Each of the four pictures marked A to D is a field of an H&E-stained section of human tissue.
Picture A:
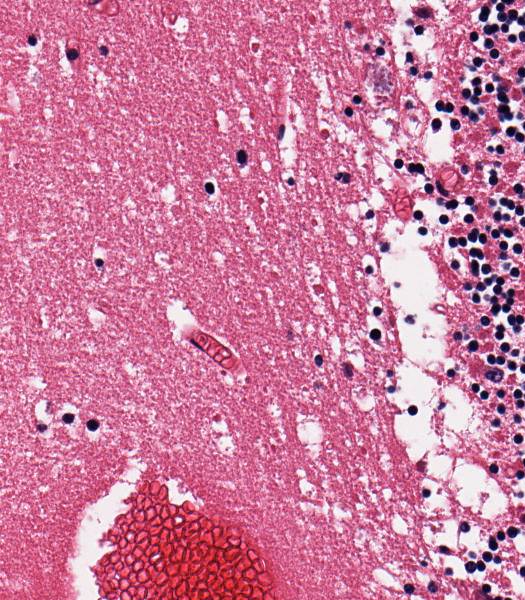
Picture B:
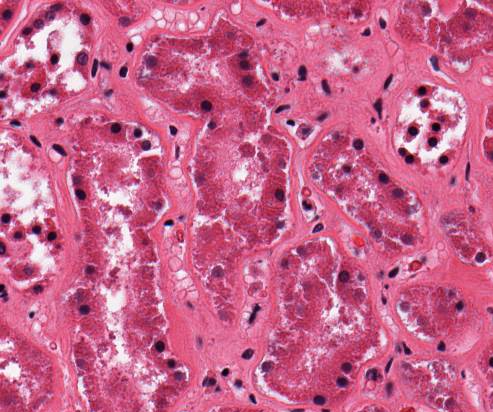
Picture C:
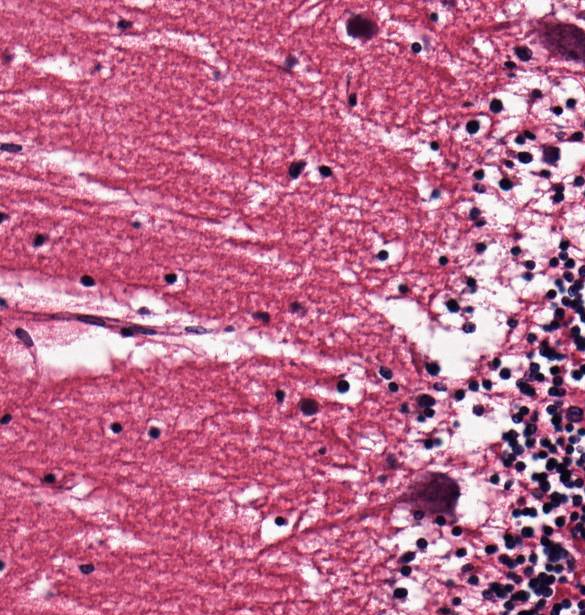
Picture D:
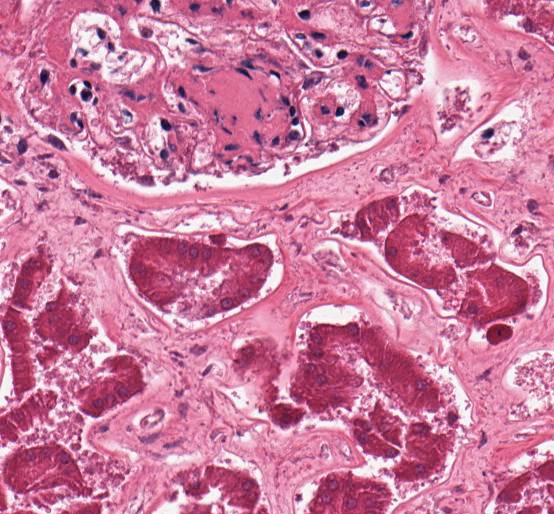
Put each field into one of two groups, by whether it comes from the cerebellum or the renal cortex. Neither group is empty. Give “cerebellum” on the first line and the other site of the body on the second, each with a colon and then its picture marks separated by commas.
cerebellum: A, C
renal cortex: B, D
